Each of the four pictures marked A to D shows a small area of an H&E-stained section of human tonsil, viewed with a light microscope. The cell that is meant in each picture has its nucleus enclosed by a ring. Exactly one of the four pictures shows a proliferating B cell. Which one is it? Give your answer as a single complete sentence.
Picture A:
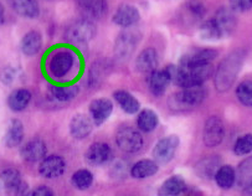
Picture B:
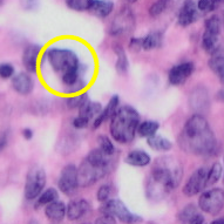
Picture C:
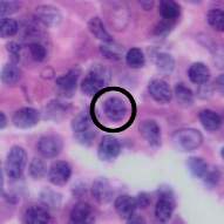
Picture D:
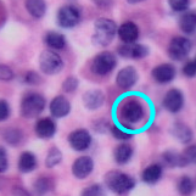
The proliferating B cell is the one in picture B.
